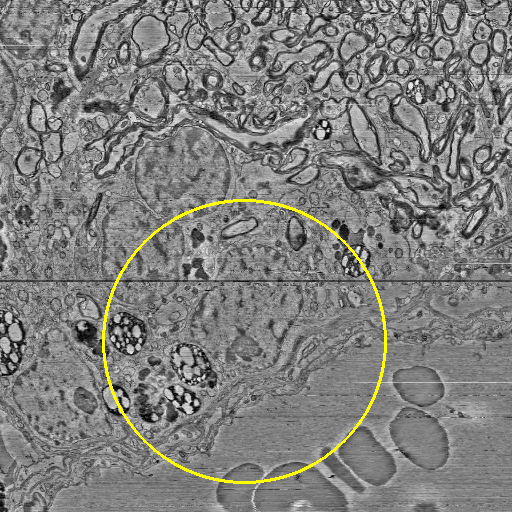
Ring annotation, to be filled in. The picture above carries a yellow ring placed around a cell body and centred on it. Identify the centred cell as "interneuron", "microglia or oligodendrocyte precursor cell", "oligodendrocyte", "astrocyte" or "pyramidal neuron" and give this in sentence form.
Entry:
The cell in the middle of the ring is an astrocyte.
